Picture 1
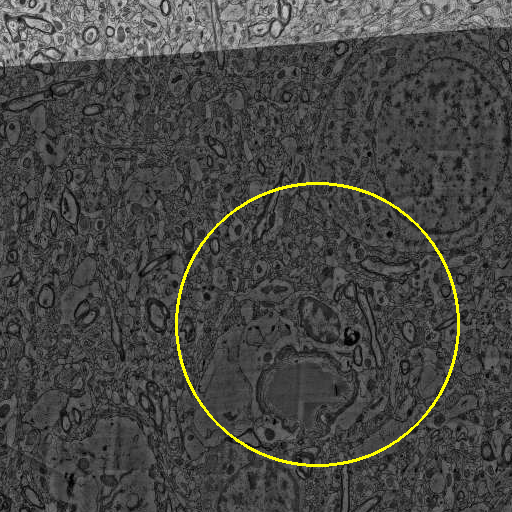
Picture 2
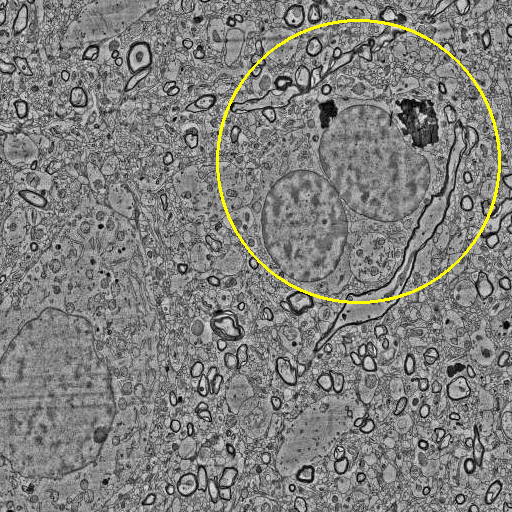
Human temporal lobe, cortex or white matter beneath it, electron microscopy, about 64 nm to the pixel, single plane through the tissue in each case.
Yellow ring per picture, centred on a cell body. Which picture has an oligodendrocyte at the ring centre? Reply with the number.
2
